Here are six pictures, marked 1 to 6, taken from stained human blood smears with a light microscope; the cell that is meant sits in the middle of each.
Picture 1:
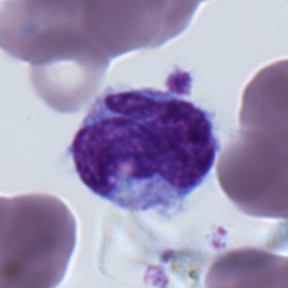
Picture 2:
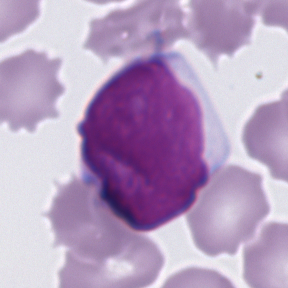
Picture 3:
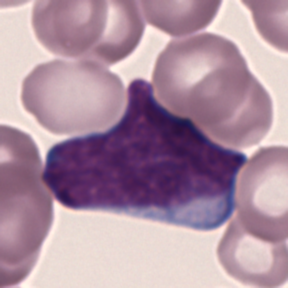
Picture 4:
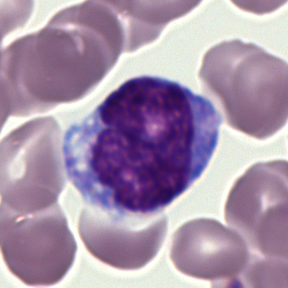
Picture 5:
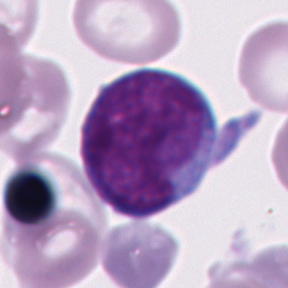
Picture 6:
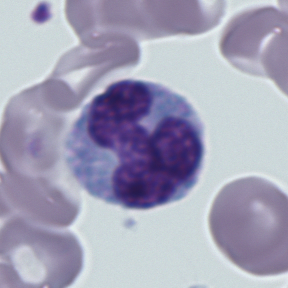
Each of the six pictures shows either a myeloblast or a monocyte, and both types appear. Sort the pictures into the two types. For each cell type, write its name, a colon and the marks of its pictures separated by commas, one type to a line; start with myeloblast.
myeloblast: 2, 3, 5
monocyte: 1, 4, 6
